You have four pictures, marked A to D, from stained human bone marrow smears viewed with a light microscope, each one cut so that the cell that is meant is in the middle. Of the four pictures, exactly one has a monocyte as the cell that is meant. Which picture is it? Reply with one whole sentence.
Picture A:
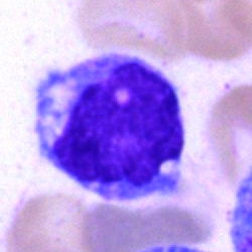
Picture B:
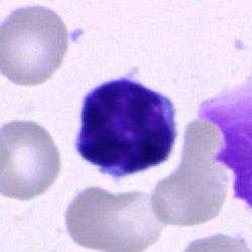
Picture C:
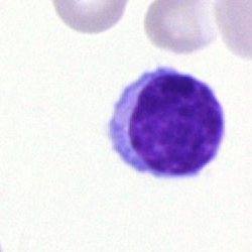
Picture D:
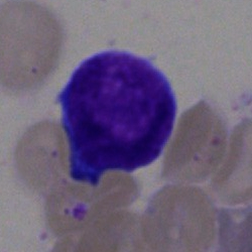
Picture A shows the monocyte.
